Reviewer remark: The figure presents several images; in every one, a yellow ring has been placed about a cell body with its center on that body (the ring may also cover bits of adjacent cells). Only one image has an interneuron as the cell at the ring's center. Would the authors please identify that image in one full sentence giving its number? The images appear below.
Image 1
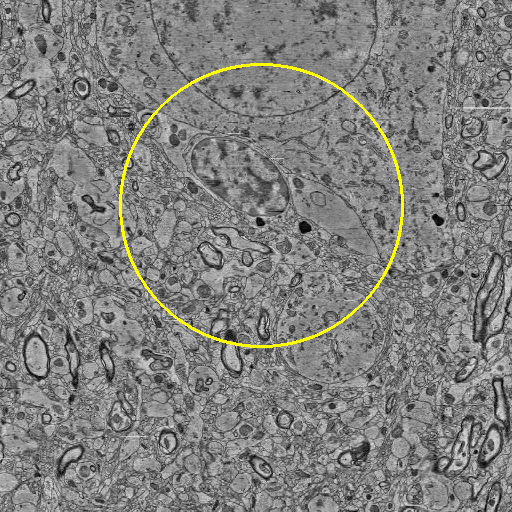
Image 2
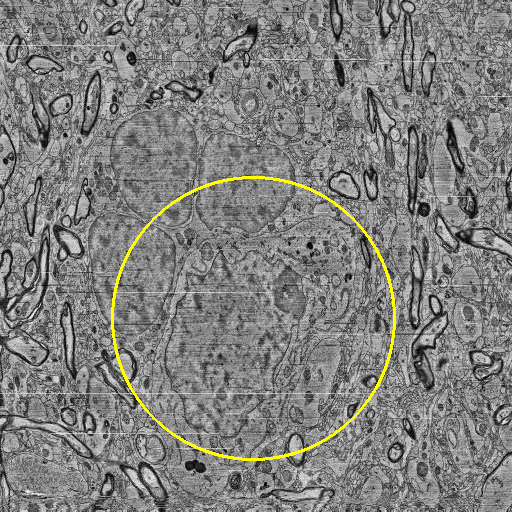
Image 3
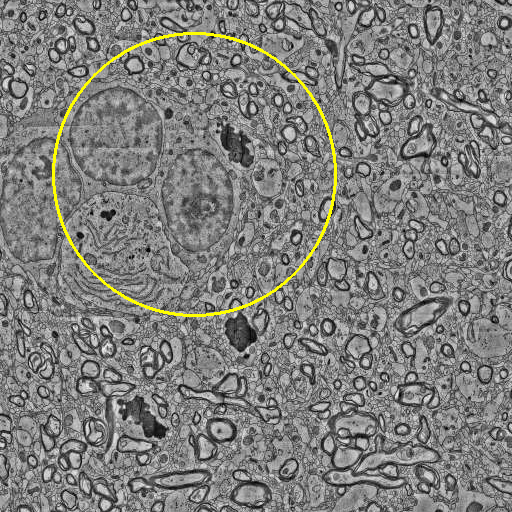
The ring's central cell in image 2 is the one the question describes.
